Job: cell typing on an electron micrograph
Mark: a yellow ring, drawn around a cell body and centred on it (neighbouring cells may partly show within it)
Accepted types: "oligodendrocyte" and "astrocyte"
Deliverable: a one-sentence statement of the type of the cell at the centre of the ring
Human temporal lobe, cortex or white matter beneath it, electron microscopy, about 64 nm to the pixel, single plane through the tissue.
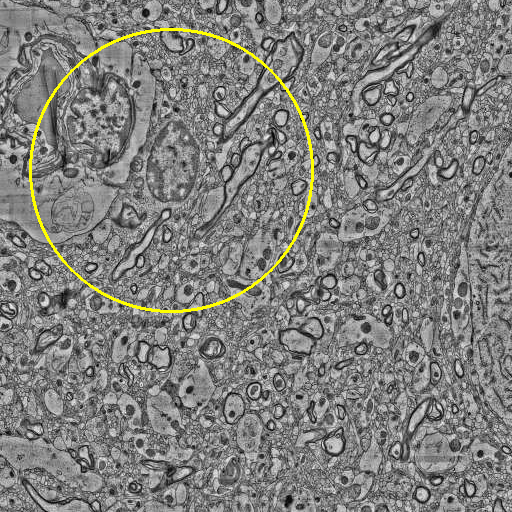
The centred cell body is that of an oligodendrocyte.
